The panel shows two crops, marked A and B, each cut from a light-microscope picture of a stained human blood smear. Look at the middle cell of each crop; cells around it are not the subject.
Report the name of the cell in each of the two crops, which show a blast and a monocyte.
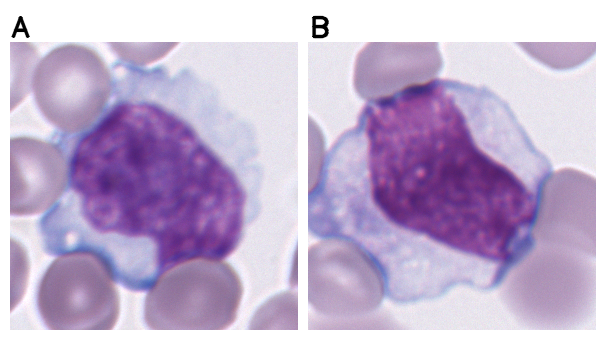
A: blast
B: monocyte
